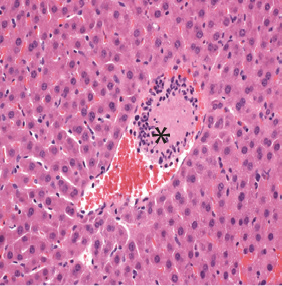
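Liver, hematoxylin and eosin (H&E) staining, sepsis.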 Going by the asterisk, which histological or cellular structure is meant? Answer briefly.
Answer: Clots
